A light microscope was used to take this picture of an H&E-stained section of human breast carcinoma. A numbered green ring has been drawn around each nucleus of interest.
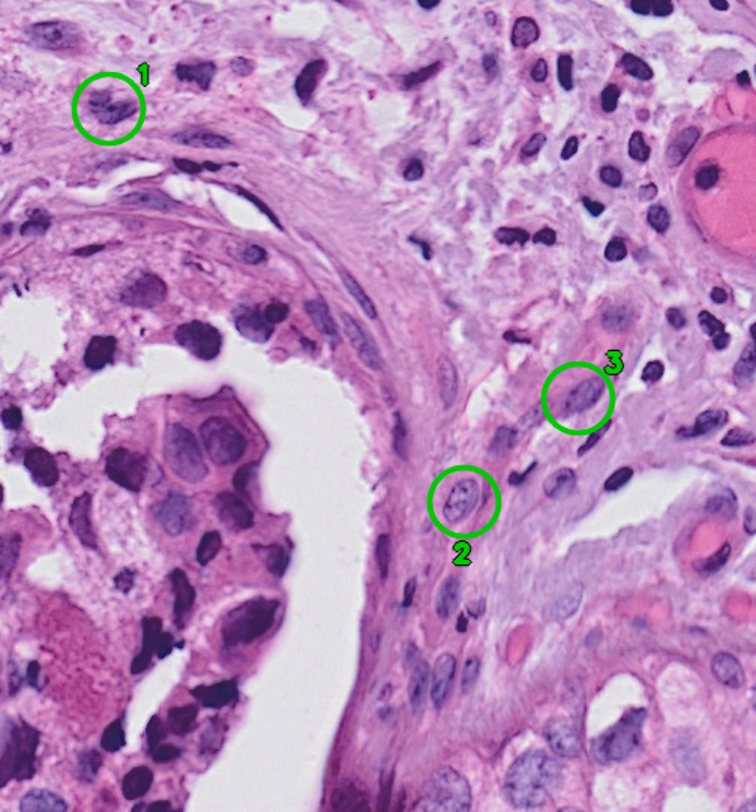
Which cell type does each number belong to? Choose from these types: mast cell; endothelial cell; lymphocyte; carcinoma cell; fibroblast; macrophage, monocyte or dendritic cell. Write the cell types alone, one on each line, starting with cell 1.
macrophage, monocyte or dendritic cell
endothelial cell
endothelial cell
